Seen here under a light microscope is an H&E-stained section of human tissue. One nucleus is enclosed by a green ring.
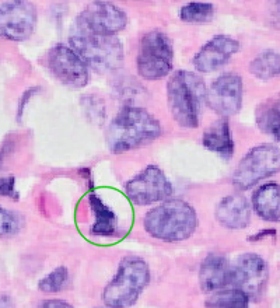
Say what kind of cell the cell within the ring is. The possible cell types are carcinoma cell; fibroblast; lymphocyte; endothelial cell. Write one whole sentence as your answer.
In the tissue under study, the cell within the ring is an endothelial cell.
